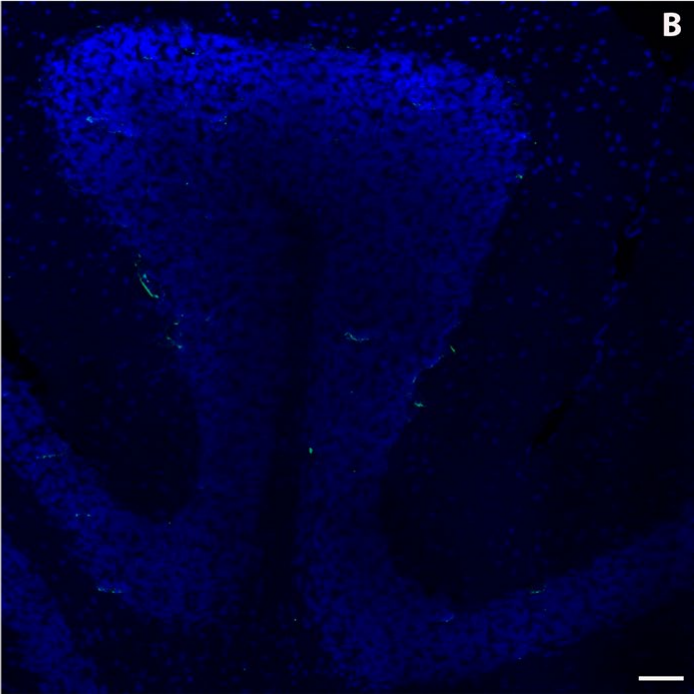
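This is cerebellar cortex with several folia separated by narrow clefts. Each folium has a broad band of densely packed small blue nuclei, surrounded by a darker outer layer that holds only sparse nuclei.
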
